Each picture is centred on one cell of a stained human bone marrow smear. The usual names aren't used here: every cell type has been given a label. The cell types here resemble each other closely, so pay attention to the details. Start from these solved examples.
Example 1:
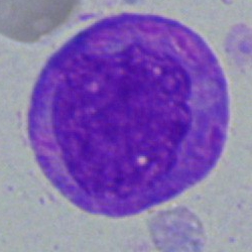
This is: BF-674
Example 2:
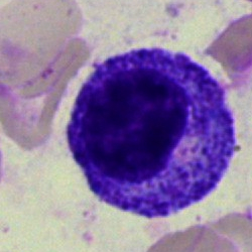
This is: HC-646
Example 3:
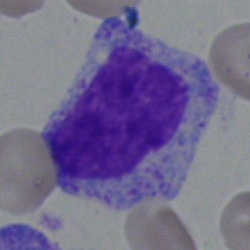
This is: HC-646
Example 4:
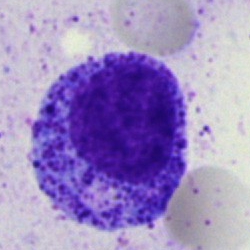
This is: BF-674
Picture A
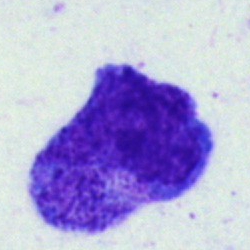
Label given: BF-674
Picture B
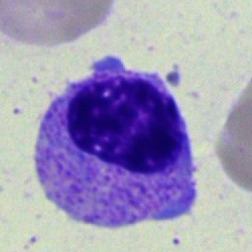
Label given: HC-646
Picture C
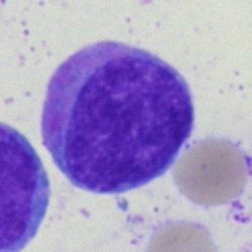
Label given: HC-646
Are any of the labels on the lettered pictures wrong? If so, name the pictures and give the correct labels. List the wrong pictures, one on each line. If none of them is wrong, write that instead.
C: not HC-646 but BF-674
